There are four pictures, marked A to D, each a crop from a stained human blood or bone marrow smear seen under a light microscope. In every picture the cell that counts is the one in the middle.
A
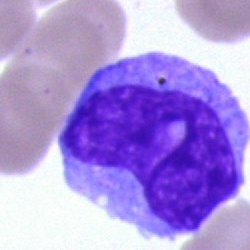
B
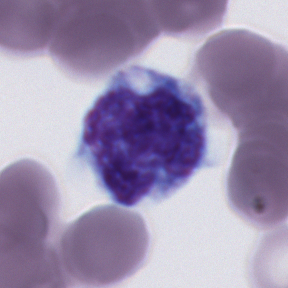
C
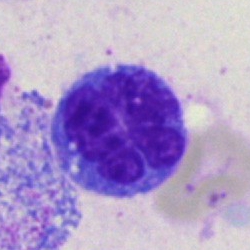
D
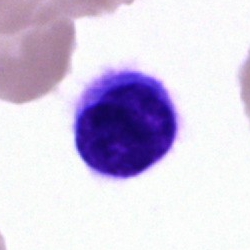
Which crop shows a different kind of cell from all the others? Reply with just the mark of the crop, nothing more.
D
